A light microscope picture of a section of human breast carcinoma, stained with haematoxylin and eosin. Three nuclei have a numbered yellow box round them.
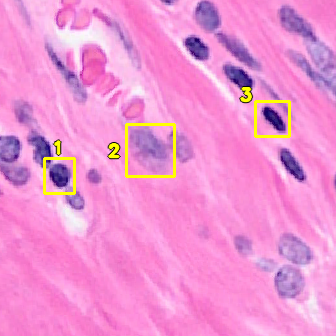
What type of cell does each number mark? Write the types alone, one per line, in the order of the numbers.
lymphocyte
endothelial cell
lymphocyte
